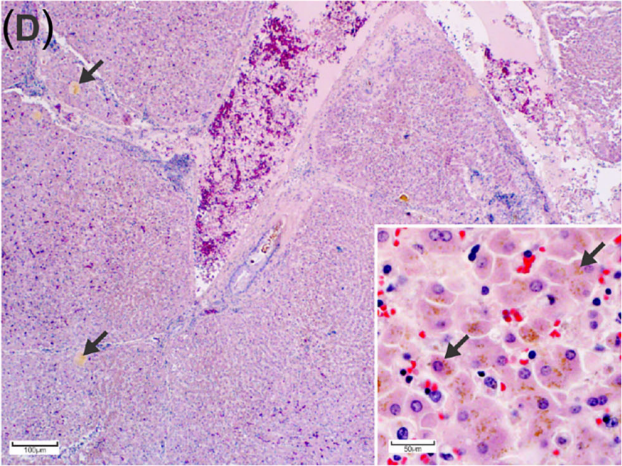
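This is liver at low power, with lobules of hepatocyte plates, small portal tracts and a vessel packed with blood, and a few scattered golden-brown plugs. The inset shows polygonal hepatocytes with round central nuclei and pink cytoplasm holding fine golden-brown pigment granules.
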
